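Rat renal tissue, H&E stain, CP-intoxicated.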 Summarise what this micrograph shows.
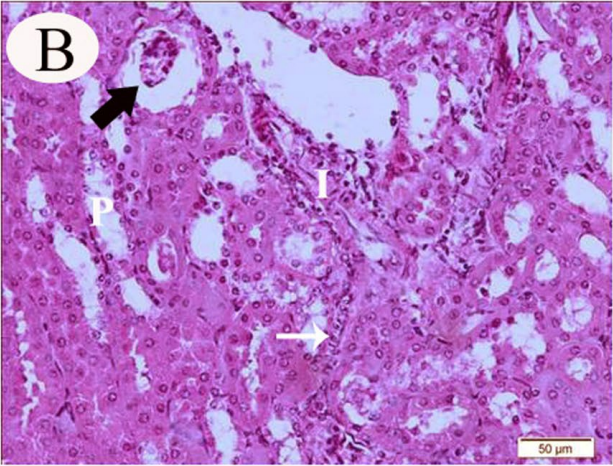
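This is kidney cortex with damaged tubules and a shrunken glomerulus. Near the top a small glomerular tuft sits within a wide clear space inside its capsule. Many tubules are dilated, and several are lined by cells with pale, vacuolated cytoplasm, some lumens holding loose pale debris. Elsewhere the tubular cells are swollen and pink with prominent nuclei. Between the tubules, small dark round nuclei of inflammatory cells are scattered in patches. A large irregular clear space runs across the upper field.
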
